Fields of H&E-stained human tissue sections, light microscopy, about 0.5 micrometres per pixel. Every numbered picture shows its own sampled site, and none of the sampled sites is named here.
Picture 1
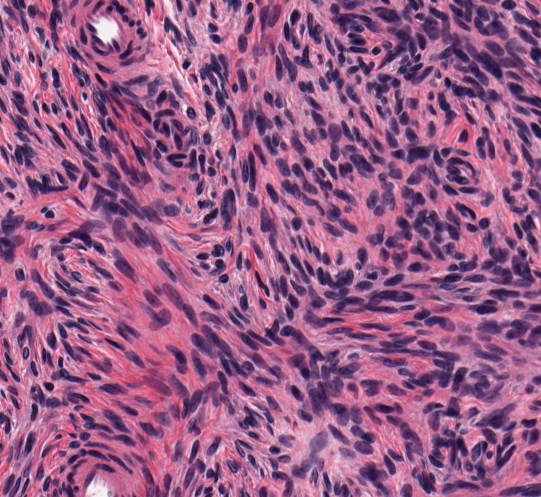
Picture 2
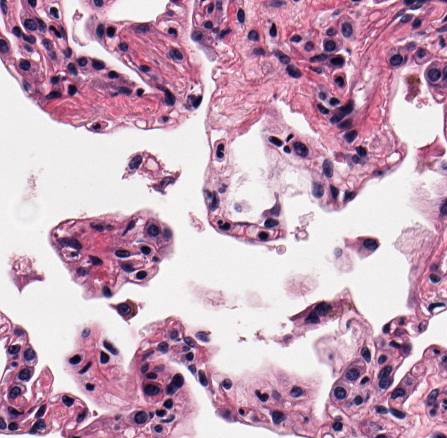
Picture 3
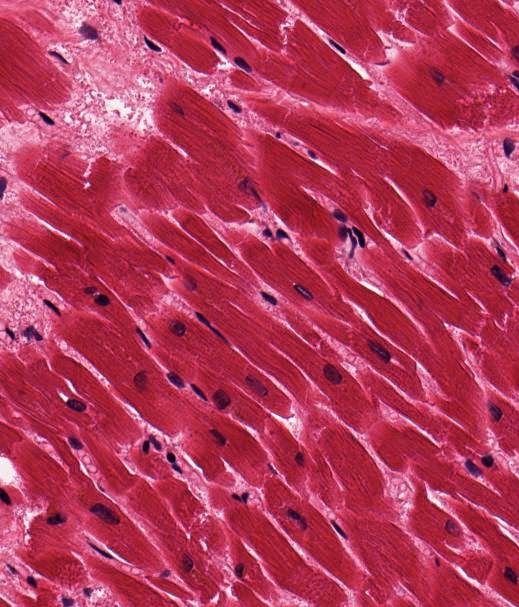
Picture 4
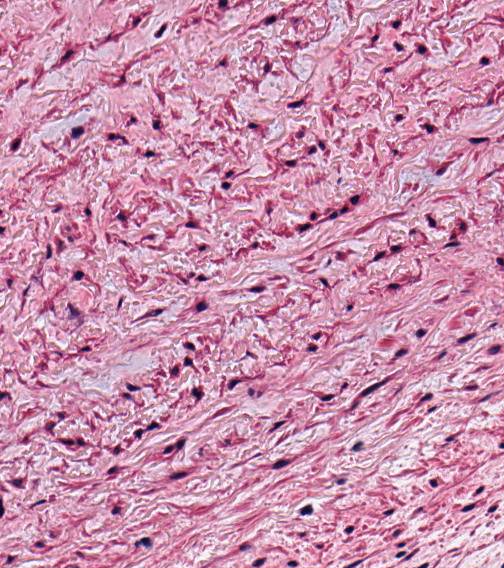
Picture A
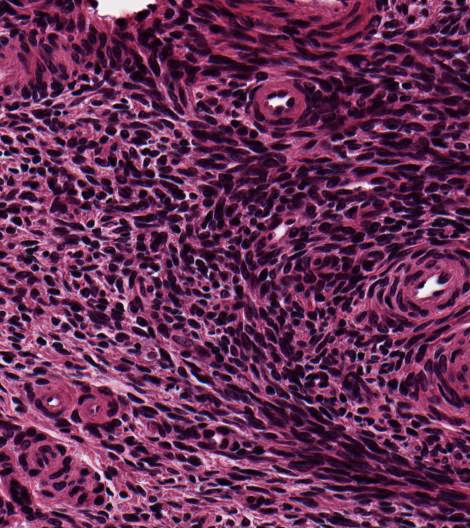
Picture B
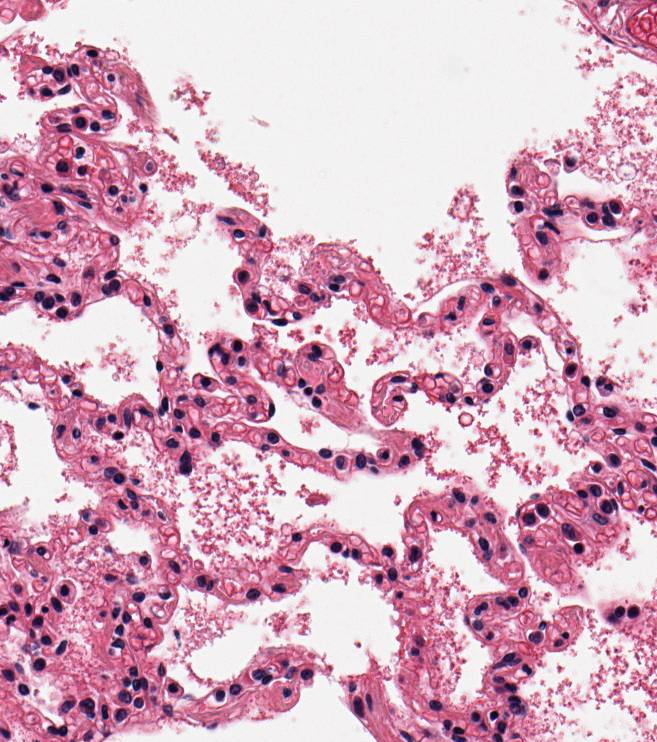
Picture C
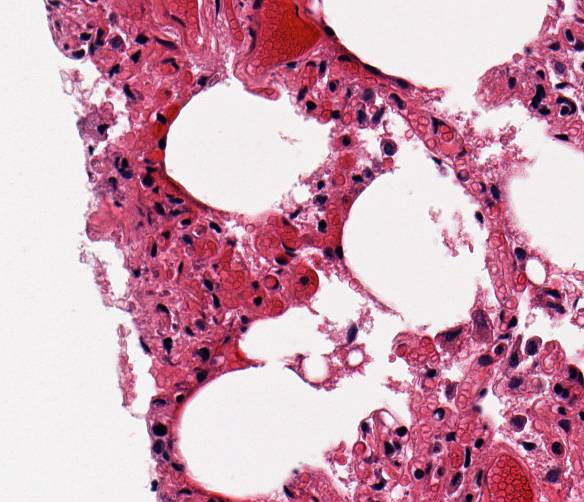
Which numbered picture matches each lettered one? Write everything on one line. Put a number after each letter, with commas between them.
A 1, B 2, C 2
